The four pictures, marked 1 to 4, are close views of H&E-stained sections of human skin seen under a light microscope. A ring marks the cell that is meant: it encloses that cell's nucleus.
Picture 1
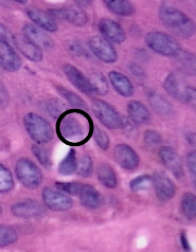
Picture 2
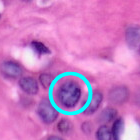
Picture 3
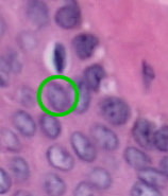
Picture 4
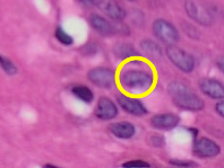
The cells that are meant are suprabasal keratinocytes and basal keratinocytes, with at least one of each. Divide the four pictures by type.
1: basal keratinocyte
2: basal keratinocyte
3: suprabasal keratinocyte
4: basal keratinocyte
